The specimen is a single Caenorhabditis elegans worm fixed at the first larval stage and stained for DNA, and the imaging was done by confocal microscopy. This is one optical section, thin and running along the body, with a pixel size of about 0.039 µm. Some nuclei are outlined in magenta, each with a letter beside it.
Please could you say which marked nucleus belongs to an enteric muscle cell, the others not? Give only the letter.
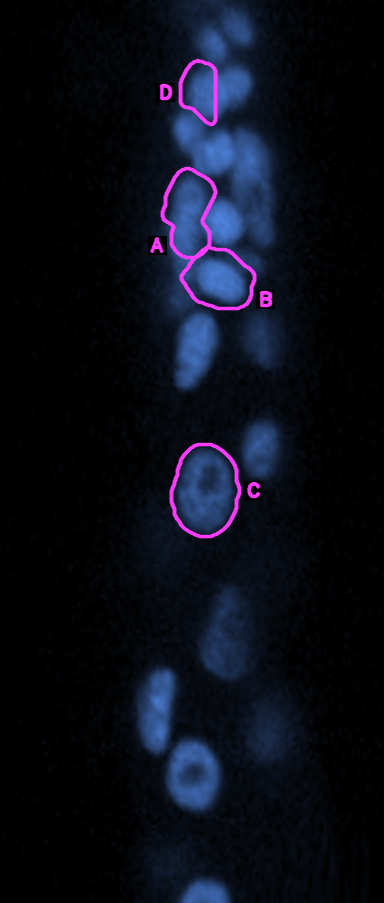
B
